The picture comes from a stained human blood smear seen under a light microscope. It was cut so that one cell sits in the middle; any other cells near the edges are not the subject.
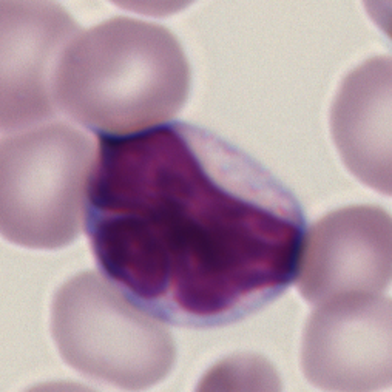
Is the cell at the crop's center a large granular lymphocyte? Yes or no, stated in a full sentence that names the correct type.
Yes, the cell centred in the field of view is a large granular lymphocyte.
